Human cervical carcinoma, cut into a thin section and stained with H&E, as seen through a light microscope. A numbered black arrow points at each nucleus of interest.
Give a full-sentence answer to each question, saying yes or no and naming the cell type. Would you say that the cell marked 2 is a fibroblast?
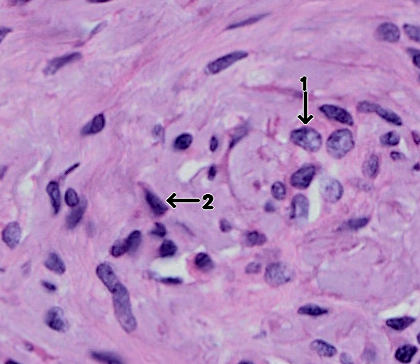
Yes, the cell at marker 2 is a fibroblast.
